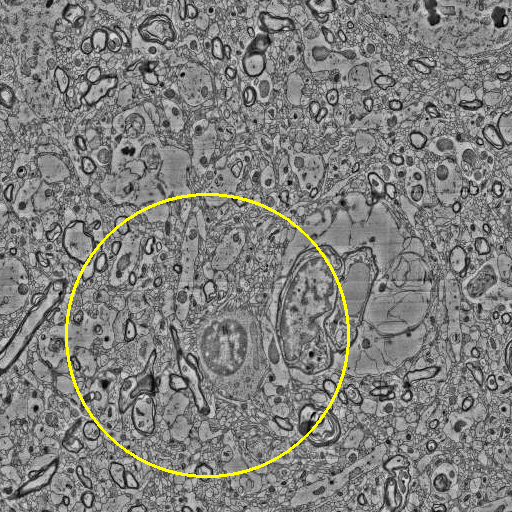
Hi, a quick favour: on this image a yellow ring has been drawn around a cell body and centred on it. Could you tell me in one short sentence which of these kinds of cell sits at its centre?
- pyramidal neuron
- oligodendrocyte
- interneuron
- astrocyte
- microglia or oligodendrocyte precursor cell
The ring is centred on an oligodendrocyte.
